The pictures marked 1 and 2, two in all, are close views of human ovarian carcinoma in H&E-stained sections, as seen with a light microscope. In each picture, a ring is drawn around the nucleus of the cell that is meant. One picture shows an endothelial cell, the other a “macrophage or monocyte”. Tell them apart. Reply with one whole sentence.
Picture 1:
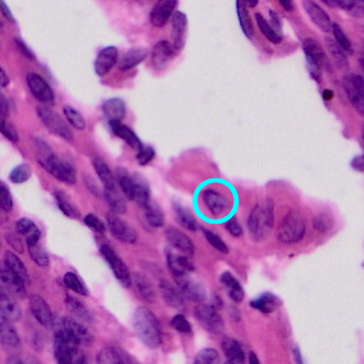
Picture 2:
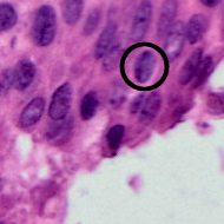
Picture 1 shows an endothelial cell and picture 2 shows a “macrophage or monocyte”.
